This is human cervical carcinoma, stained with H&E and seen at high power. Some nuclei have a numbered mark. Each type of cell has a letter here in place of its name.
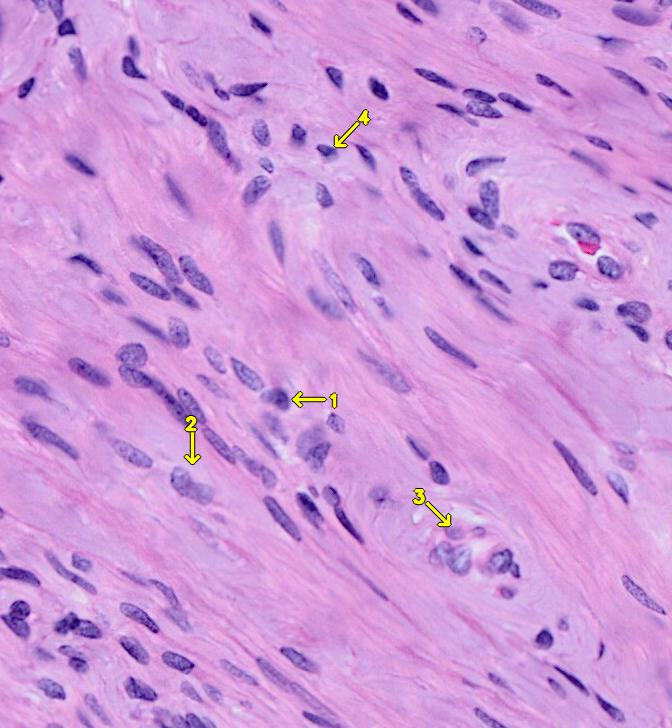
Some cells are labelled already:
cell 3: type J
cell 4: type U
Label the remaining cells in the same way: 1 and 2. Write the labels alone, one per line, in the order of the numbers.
type U
type U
